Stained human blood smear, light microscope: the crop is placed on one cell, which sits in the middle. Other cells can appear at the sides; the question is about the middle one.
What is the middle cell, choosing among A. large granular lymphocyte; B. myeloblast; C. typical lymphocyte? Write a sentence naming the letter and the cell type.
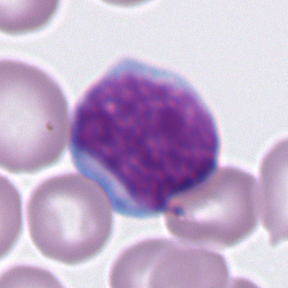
According to option B, which is correct, the cell in the middle is a myeloblast.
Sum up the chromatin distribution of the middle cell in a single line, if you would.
The chromatin is fine; coarse clumps are not a feature here.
